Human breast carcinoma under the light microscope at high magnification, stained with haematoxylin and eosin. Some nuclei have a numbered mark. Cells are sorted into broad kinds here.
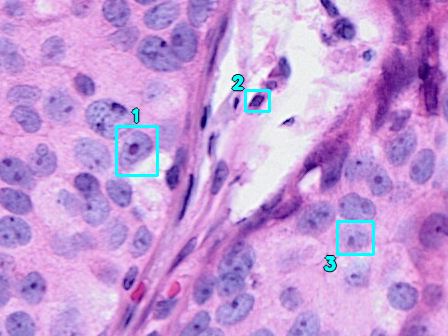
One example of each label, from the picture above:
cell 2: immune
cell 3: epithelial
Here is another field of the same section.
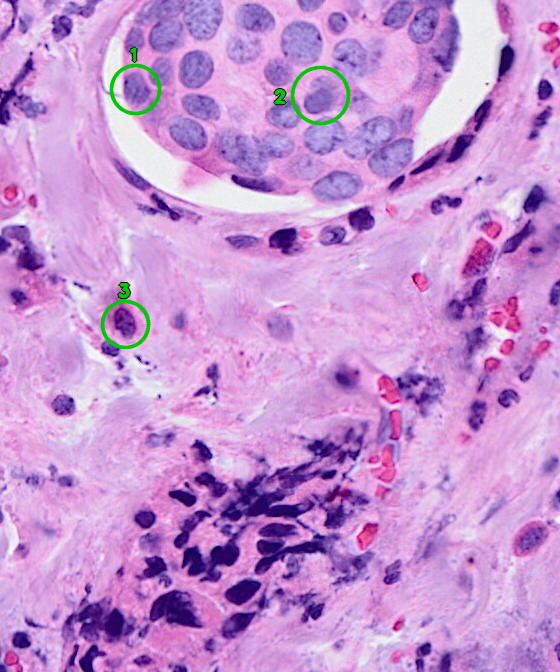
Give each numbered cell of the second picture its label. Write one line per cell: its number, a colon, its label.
1: epithelial
2: epithelial
3: immune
